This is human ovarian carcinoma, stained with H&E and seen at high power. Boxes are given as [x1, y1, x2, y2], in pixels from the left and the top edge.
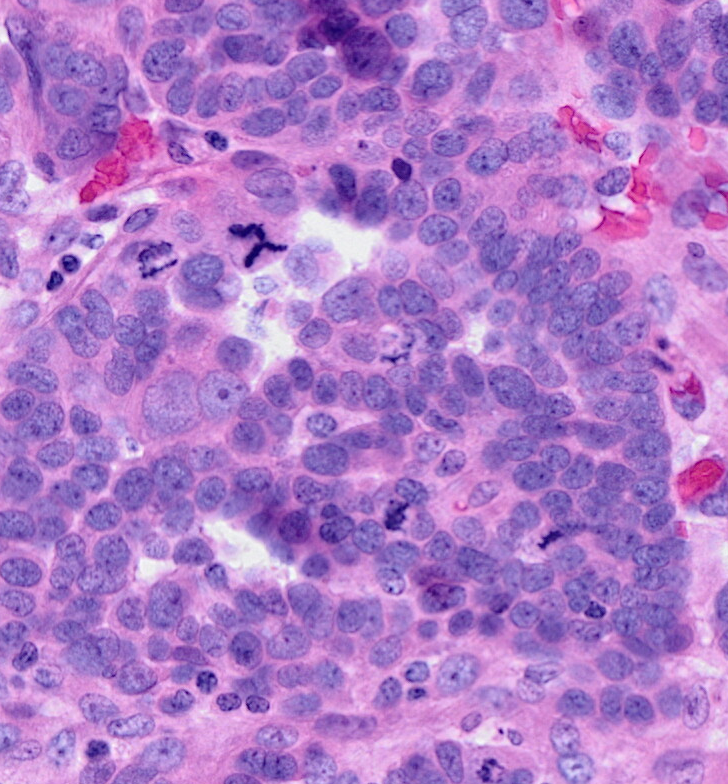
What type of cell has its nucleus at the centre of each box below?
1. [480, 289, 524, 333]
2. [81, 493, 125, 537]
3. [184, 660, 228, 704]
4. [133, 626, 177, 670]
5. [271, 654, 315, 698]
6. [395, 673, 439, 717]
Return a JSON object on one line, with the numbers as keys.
{"1": "carcinoma cell", "2": "carcinoma cell", "3": "lymphocyte", "4": "carcinoma cell", "5": "carcinoma cell", "6": "lymphocyte"}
